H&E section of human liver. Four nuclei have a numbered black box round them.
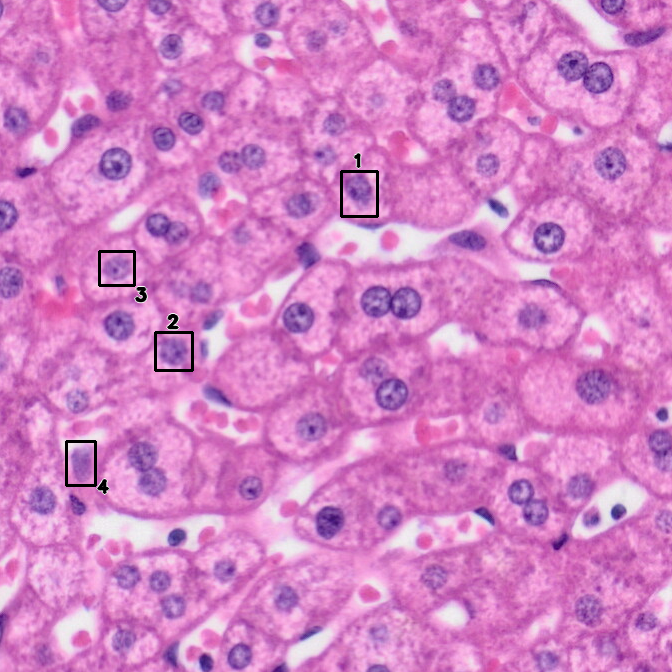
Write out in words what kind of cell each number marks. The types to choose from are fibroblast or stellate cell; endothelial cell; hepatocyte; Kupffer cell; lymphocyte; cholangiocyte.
Cells 1, 2 and 3 are hepatocytes. Cell 4 is a Kupffer cell.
